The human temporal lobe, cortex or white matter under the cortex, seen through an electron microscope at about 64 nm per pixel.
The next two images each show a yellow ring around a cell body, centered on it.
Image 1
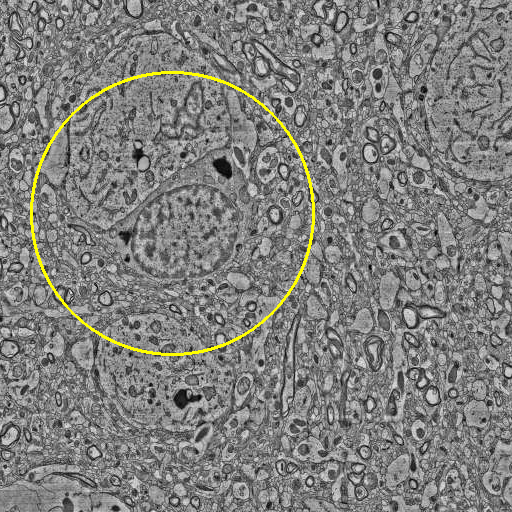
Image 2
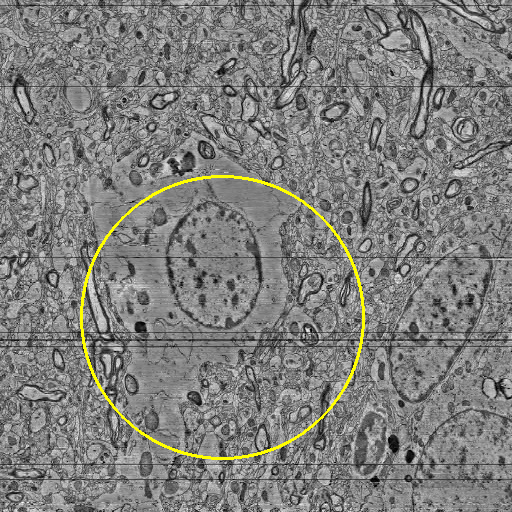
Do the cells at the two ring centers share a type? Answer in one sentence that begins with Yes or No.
No, across the two images the cells at the ring centers are of two types.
